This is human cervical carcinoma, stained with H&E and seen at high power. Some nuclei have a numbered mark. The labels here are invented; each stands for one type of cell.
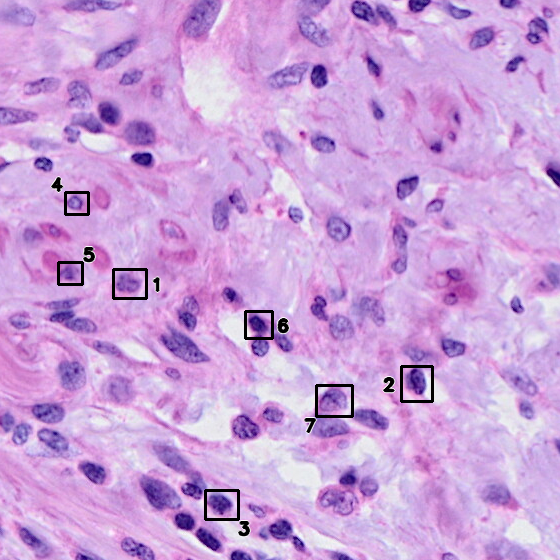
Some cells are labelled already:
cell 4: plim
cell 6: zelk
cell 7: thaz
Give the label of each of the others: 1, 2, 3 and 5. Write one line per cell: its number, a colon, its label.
1: thaz
2: zelk
3: zelk
5: plim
